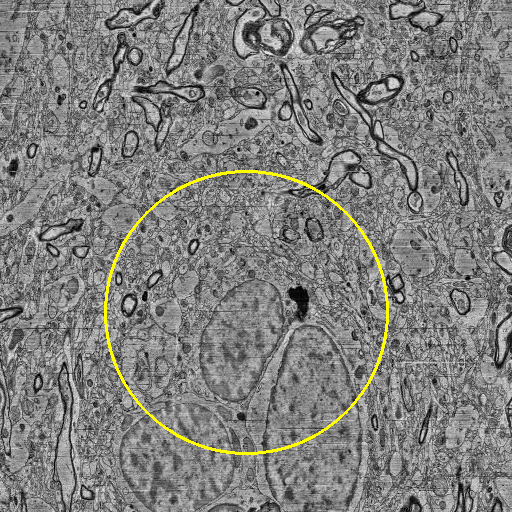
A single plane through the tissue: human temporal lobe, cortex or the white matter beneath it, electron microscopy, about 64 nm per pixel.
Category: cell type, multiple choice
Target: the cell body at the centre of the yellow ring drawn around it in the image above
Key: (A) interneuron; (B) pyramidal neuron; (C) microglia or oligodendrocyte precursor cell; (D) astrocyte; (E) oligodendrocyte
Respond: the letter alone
E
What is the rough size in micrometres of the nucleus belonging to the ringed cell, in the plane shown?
The nucleus is about 8 micrometres in length and 5 in width, clearly longer than it is wide in this plane.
